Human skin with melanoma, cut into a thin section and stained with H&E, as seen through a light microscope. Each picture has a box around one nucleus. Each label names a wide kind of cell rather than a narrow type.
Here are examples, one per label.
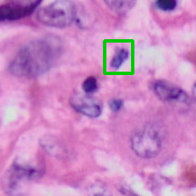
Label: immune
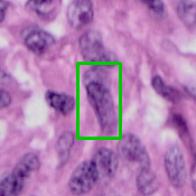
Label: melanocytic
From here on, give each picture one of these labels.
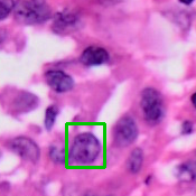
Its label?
melanocytic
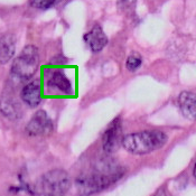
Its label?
melanocytic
